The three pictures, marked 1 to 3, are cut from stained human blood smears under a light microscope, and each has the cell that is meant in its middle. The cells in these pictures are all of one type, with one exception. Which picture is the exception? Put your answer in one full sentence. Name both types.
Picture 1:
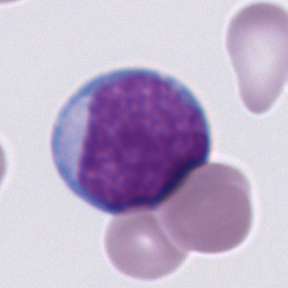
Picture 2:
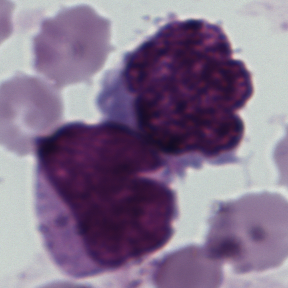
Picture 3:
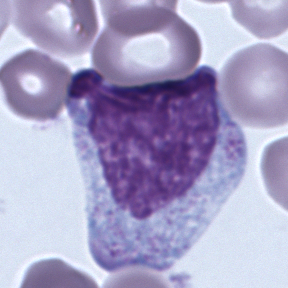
All pictures except 3 show myeloblasts; picture 3 shows a promyelocyte.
